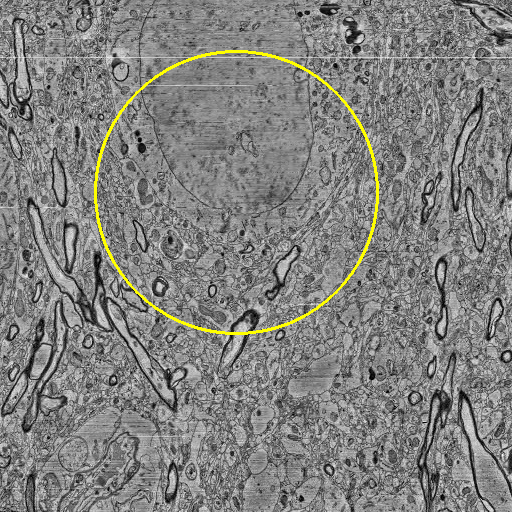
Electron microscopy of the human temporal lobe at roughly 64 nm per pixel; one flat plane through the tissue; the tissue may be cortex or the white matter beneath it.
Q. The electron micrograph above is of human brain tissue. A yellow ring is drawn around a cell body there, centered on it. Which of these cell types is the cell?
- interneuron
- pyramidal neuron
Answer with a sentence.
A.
The cell under the ring's center is a pyramidal neuron.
